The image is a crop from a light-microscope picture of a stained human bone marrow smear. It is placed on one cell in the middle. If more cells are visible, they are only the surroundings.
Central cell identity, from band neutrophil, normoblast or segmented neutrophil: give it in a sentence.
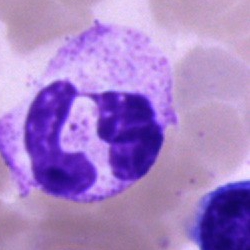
In this smear crop, the middle cell is a segmented neutrophil.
